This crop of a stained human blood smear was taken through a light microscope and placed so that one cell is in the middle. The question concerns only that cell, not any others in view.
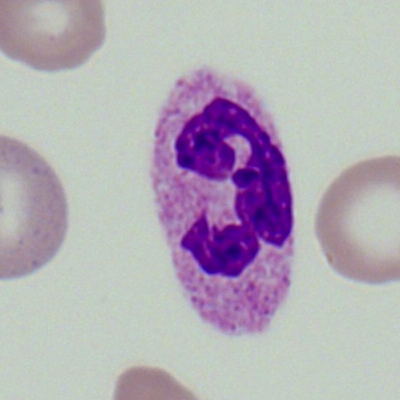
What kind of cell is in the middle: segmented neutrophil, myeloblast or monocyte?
segmented neutrophil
